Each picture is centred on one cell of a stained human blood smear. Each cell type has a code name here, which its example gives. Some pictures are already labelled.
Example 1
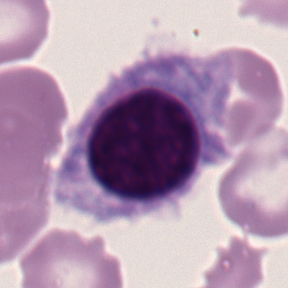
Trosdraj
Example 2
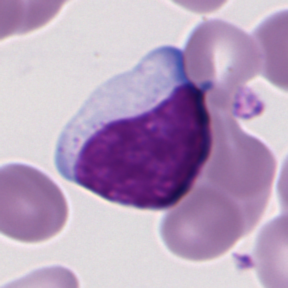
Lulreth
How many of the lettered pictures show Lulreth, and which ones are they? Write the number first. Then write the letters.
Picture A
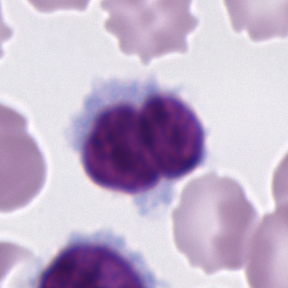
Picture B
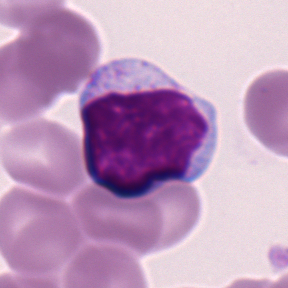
Count: 1 (B)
